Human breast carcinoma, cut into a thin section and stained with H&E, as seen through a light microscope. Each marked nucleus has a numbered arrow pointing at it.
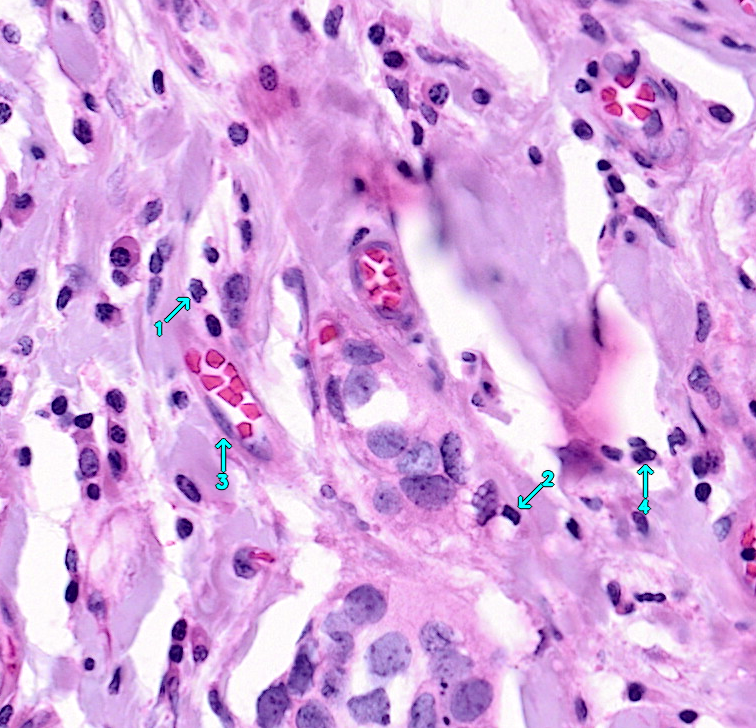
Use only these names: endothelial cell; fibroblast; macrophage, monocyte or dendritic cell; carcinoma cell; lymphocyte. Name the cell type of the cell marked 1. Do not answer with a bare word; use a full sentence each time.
The numbered cell 1 is identified here as a lymphocyte.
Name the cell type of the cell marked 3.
The cell given label 3 is an endothelial cell.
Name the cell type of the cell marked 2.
The cell given label 2 is a lymphocyte.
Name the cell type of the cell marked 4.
Cell 4 is classified as a lymphocyte.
